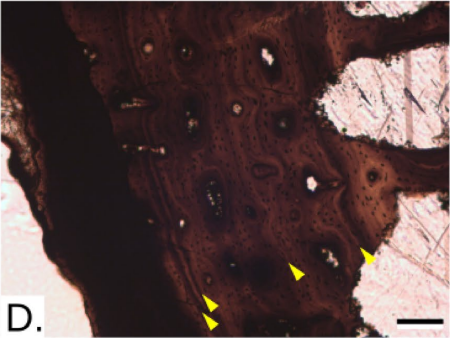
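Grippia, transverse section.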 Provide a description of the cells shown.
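This is dark brown fossil bone with growth lines running parallel to its outer surface. Rounded vascular canals, several with a pale centre, are surrounded by darker rings of bone and spaced through the tissue. Tiny dark dots, the lacunae of bone cells, are scattered through the matrix. To the right the bone borders large cavities filled with pale crystalline mineral.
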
